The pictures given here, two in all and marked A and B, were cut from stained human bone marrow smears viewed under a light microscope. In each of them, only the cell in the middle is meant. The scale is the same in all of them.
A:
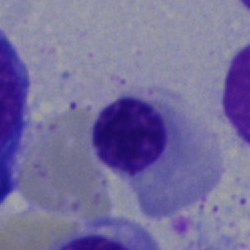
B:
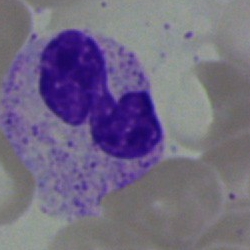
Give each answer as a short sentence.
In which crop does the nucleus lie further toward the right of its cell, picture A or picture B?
It is the nucleus in picture B that lies further toward the right of its cell.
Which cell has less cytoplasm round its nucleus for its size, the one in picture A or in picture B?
The nucleus fills more of the cell in picture B than in picture A.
